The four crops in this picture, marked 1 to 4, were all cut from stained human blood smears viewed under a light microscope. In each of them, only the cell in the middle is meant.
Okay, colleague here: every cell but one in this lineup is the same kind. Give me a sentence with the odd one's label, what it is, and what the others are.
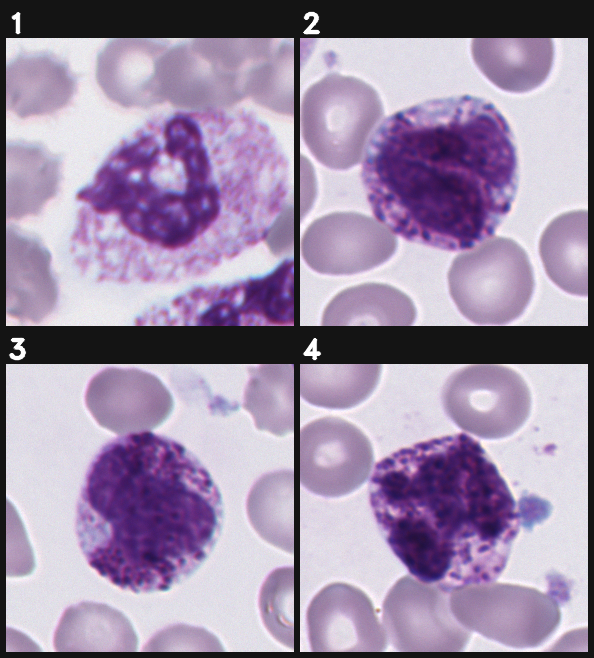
In every crop except crop 1, which shows a segmented neutrophil, basophils are shown.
